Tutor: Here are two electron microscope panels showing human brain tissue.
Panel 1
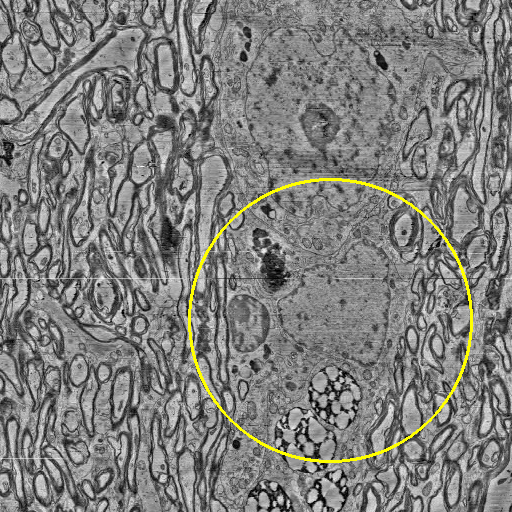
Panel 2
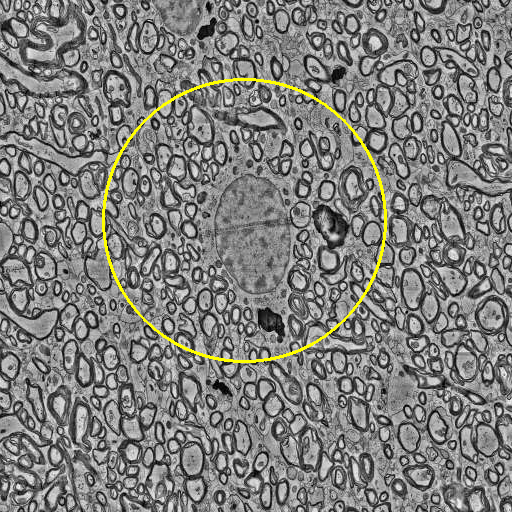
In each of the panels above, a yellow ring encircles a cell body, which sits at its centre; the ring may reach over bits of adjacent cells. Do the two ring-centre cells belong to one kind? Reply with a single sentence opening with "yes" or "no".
No, the two cells sitting at the ring centres in the panels belong to two kinds.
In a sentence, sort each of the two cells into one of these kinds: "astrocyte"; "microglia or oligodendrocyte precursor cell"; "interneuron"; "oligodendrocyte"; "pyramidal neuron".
The first of the two cells is an astrocyte, and the second is an oligodendrocyte.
